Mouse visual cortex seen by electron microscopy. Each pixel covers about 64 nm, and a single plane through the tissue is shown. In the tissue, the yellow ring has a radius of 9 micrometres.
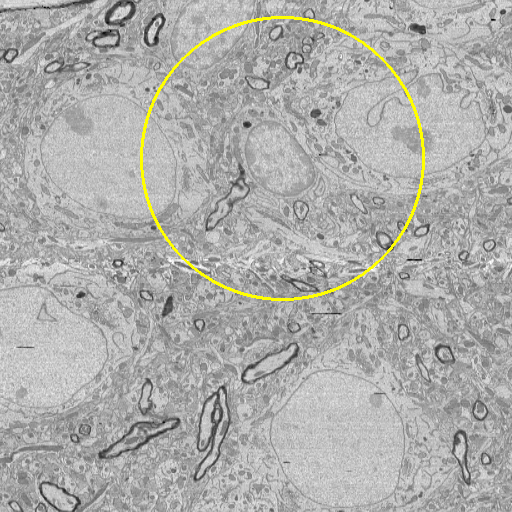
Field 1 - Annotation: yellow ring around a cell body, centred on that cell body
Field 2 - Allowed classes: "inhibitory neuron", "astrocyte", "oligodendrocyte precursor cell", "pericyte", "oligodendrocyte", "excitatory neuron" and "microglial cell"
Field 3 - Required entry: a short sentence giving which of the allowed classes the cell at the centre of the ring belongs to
The centred cell is an oligodendrocyte.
